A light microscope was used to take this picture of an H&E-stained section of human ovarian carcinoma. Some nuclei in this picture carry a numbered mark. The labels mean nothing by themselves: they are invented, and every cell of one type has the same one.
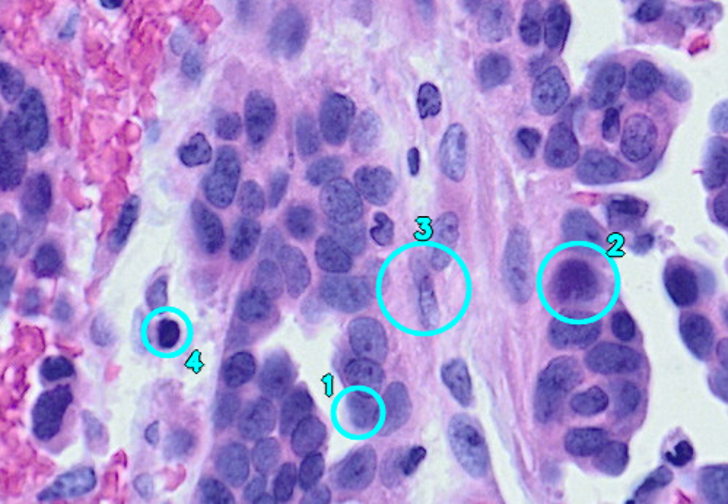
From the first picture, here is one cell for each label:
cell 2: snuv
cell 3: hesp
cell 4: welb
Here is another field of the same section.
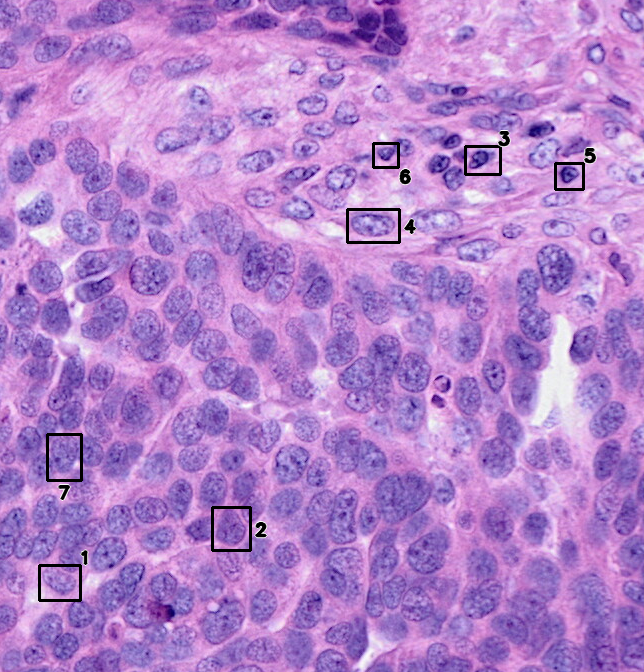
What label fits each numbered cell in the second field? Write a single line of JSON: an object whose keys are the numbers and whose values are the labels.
{"1": "snuv", "2": "snuv", "3": "welb", "4": "hesp", "5": "welb", "6": "welb", "7": "snuv"}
